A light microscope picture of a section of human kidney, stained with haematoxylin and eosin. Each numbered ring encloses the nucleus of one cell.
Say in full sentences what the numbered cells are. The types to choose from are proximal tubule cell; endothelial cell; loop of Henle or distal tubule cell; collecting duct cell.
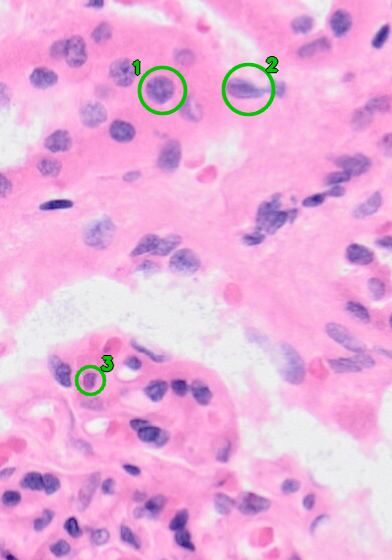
Cell 1 is a loop of Henle or distal tubule cell. Cells 2 and 3 are endothelial cells.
